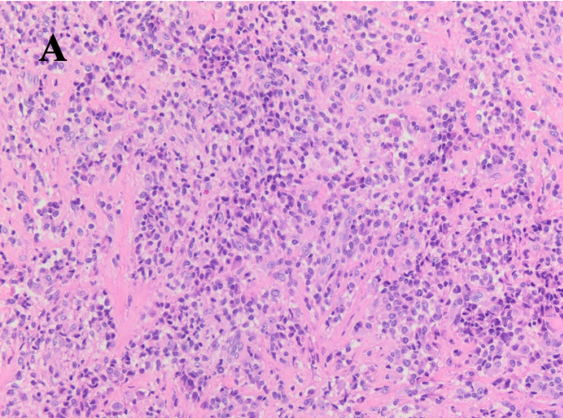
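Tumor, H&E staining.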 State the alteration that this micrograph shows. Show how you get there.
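Sheets of closely packed small round to oval cells fill the field. Pink collagen strands run between the cell sheets.
Conclusion: dense lymphohistiocytic proliferation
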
